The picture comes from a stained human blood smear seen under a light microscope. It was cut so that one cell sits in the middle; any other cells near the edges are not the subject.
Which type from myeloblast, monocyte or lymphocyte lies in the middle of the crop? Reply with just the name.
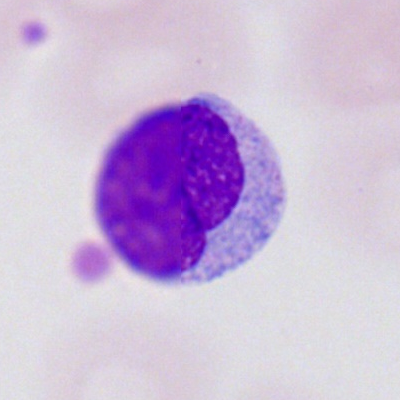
lymphocyte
